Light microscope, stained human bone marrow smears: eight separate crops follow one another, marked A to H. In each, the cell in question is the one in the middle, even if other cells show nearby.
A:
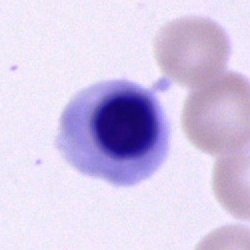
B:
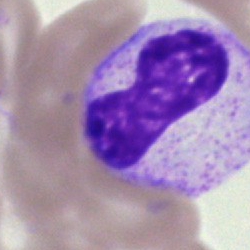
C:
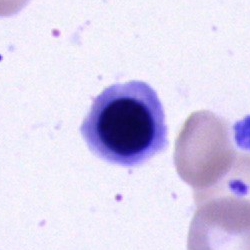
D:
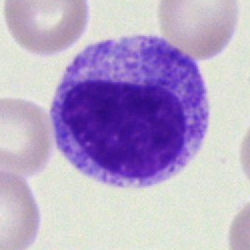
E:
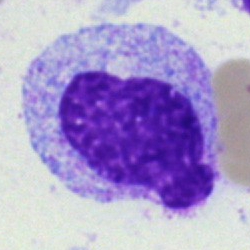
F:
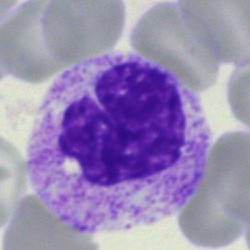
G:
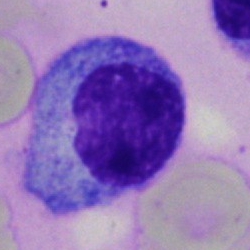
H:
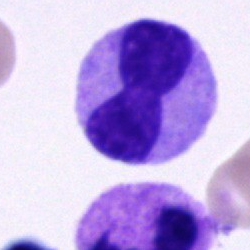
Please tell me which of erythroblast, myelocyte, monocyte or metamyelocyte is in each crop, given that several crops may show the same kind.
A: erythroblast
B: metamyelocyte
C: erythroblast
D: myelocyte
E: myelocyte
F: metamyelocyte
G: myelocyte
H: metamyelocyte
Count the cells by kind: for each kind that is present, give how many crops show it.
metamyelocyte: 3
myelocyte: 3
erythroblast: 2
